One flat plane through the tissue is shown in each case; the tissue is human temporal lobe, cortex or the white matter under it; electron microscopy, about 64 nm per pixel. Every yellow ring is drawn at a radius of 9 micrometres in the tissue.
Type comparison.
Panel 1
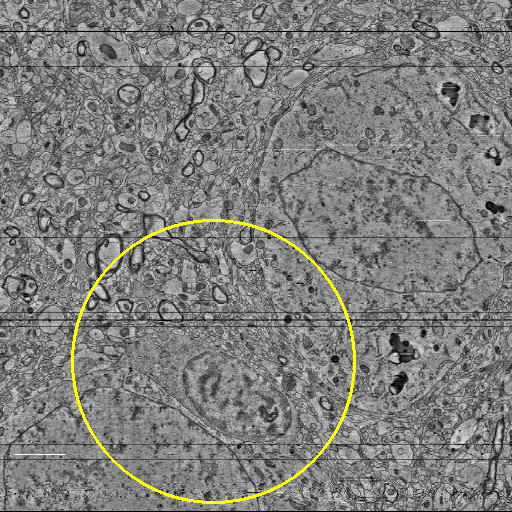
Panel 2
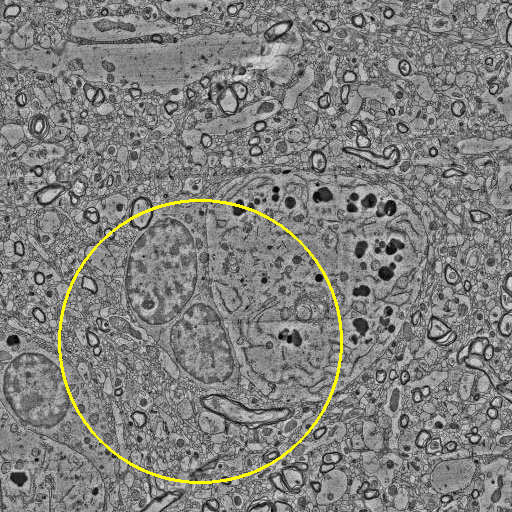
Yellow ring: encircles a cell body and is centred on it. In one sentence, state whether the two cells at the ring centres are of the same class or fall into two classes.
In these panels, the two cells at the ring centres are of the same class.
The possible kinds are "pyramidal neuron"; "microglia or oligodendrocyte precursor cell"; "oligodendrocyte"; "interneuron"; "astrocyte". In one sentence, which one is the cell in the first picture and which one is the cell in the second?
The ring centre holds an oligodendrocyte in each of the two pictures.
